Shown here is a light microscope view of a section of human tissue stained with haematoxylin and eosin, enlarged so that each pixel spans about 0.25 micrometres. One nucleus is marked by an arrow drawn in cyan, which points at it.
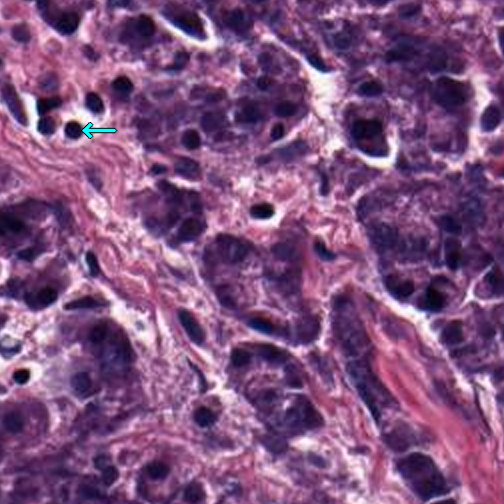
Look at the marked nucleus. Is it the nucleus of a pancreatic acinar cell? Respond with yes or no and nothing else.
no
